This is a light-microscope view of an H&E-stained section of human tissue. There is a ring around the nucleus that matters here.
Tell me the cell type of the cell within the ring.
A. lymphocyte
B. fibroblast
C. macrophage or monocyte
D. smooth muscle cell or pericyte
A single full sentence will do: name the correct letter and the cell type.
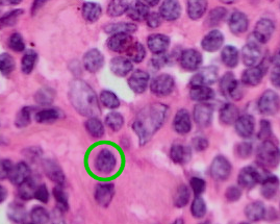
Option A is the right choice, for the cell within the ring is a lymphocyte.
